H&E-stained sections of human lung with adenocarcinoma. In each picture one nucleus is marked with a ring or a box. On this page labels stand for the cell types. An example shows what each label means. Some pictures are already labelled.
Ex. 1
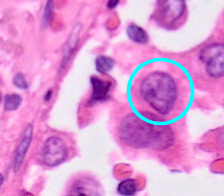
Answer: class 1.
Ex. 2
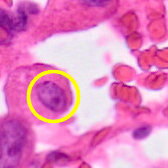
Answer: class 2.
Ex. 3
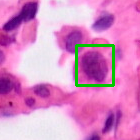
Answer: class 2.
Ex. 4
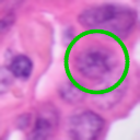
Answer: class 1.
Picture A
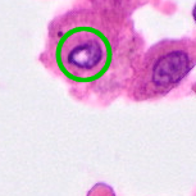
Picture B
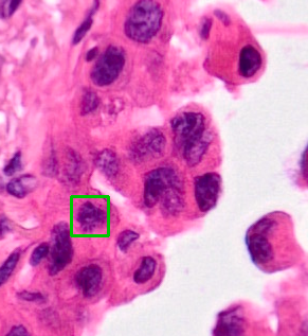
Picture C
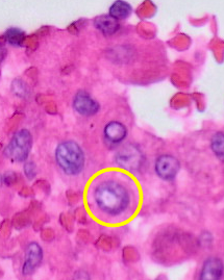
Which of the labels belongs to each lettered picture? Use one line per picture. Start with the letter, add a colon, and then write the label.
A: class 2.
B: class 1.
C: class 2.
